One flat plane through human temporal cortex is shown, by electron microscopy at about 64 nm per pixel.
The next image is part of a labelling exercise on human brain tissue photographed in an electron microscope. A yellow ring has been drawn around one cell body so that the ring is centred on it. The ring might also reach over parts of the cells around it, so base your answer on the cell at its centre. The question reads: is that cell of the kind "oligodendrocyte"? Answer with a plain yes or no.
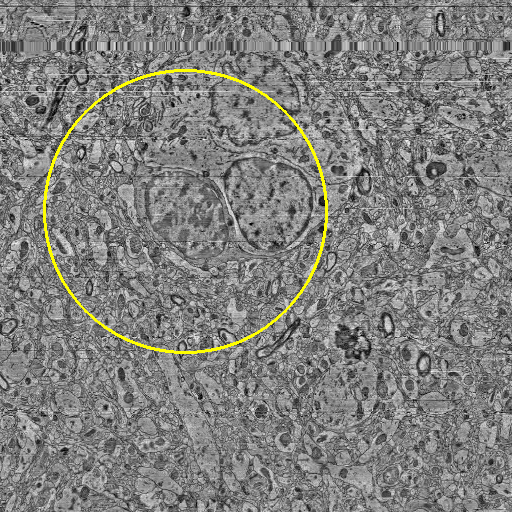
yes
